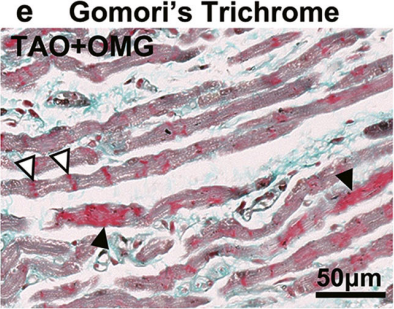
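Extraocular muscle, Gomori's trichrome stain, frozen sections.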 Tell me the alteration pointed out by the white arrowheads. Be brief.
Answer: Linear distribution.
